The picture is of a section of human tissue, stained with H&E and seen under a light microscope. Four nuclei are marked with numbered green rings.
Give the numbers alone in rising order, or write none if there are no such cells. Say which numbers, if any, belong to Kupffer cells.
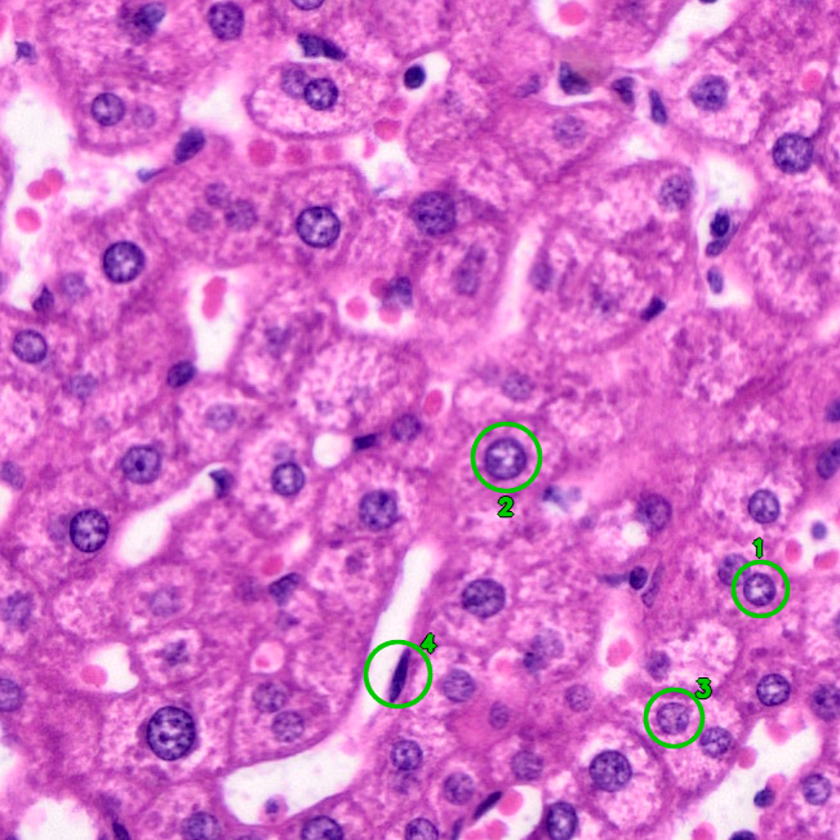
4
